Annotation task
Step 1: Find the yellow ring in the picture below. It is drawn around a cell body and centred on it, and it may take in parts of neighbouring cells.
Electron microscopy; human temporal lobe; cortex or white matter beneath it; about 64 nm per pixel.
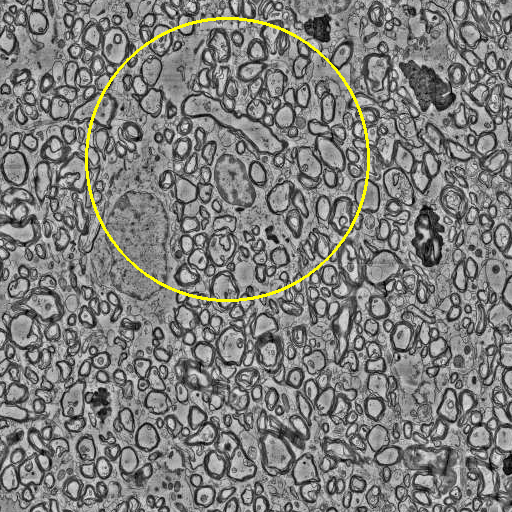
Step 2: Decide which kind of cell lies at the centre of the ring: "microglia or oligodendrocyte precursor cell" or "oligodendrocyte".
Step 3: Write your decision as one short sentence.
The kind of cell at the ring's centre is a microglial cell or oligodendrocyte precursor cell.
